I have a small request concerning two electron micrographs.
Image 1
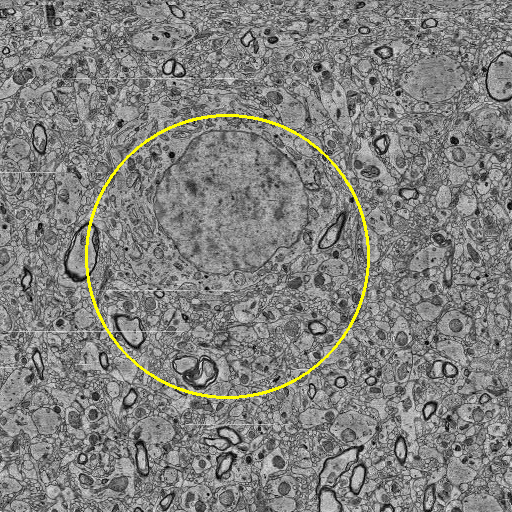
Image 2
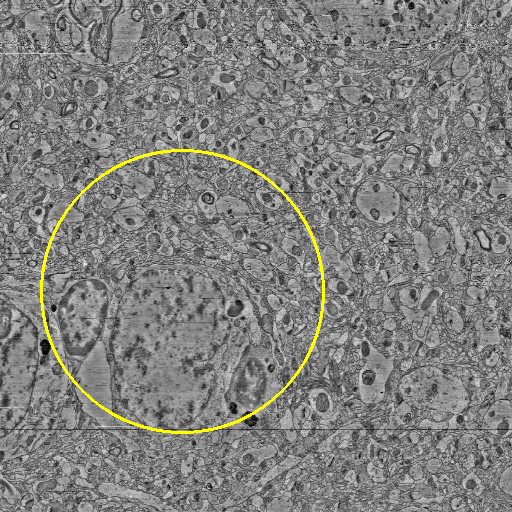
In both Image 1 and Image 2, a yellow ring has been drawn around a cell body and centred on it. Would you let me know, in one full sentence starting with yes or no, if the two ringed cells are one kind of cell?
Yes, the cells ringed in Image 1 and Image 2 are one kind of cell.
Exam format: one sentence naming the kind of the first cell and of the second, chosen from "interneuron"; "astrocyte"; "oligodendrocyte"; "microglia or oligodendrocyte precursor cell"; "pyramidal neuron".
Each of the ringed cells, first and second, is an interneuron.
